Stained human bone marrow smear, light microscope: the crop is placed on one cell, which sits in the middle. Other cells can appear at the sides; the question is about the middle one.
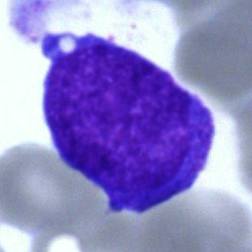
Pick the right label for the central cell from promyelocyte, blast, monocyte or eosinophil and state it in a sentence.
Positioned in the middle of the crop is a blast.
